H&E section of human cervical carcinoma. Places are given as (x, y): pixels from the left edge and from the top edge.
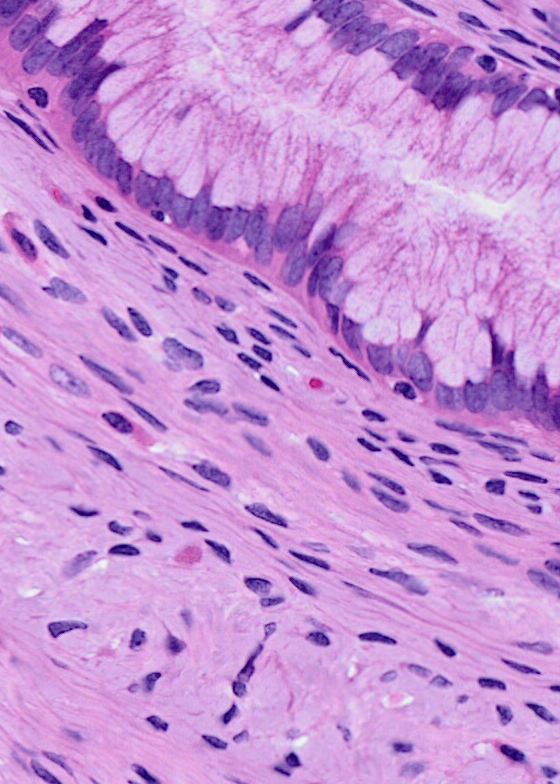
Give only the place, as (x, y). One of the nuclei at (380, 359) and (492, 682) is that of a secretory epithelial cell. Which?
(380, 359)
